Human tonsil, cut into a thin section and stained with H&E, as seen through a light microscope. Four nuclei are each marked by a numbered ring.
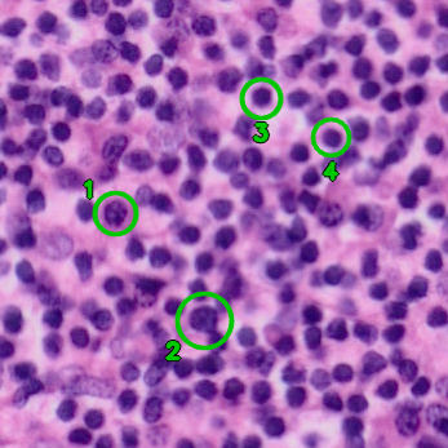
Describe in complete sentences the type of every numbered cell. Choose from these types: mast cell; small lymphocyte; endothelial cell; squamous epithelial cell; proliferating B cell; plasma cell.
Cell 1 is a plasma cell, cell 2 is a small lymphocyte, cell 3 is a small lymphocyte and cell 4 is a small lymphocyte.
